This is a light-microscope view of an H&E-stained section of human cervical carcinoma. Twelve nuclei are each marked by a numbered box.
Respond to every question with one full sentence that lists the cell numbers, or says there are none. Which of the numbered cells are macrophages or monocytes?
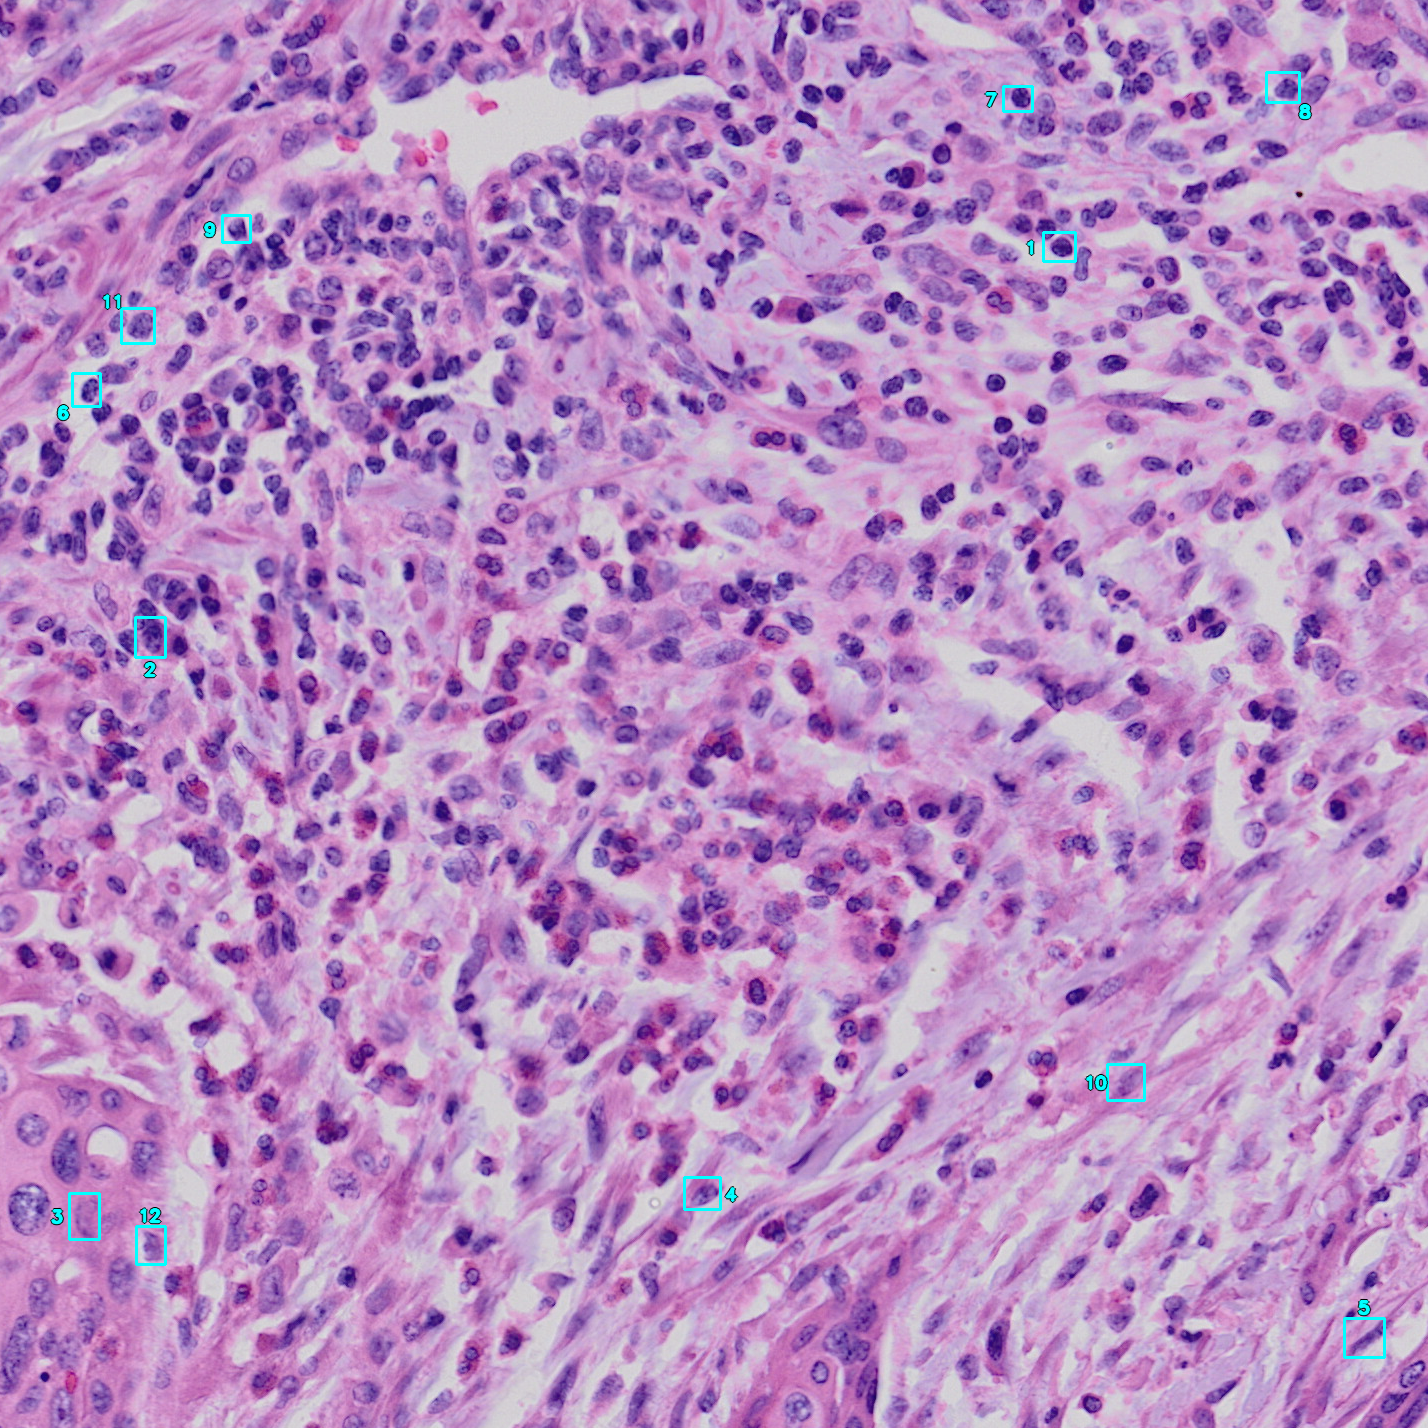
Cells 4 and 12 in the section are typed as macrophages or monocytes.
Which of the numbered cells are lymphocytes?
Cells 1, 2, 6, 7, 8, 9 and 11 are classified as lymphocytes.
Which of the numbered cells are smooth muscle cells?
In this section, none of the numbered cells are smooth muscle cells.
